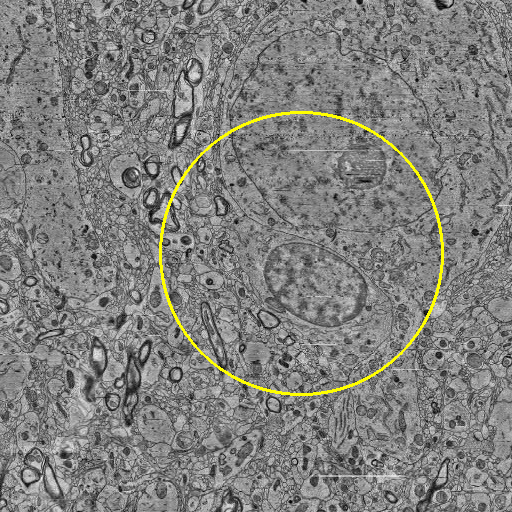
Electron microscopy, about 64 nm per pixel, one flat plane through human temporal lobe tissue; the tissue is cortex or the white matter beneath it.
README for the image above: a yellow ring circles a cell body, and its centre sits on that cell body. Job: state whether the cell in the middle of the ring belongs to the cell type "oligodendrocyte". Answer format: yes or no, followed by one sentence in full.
Yes, the cell sitting in the middle of the ring in the image belongs to that type.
